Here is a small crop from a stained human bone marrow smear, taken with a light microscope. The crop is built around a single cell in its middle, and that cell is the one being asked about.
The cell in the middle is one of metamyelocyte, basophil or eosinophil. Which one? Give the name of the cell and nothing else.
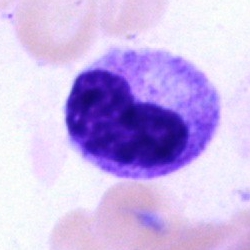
metamyelocyte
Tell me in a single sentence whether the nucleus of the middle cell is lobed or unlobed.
Key feature: a single compact nucleus, round, oval or kidney-shaped.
